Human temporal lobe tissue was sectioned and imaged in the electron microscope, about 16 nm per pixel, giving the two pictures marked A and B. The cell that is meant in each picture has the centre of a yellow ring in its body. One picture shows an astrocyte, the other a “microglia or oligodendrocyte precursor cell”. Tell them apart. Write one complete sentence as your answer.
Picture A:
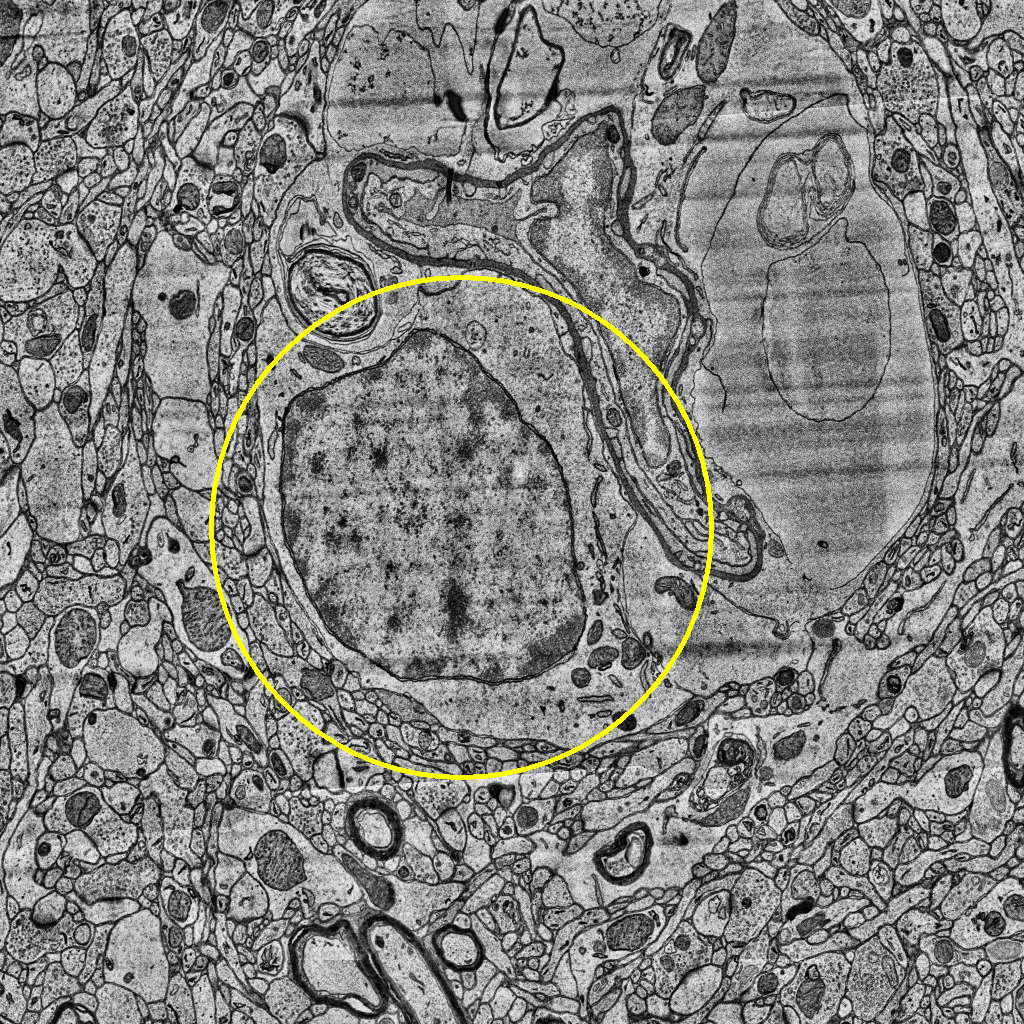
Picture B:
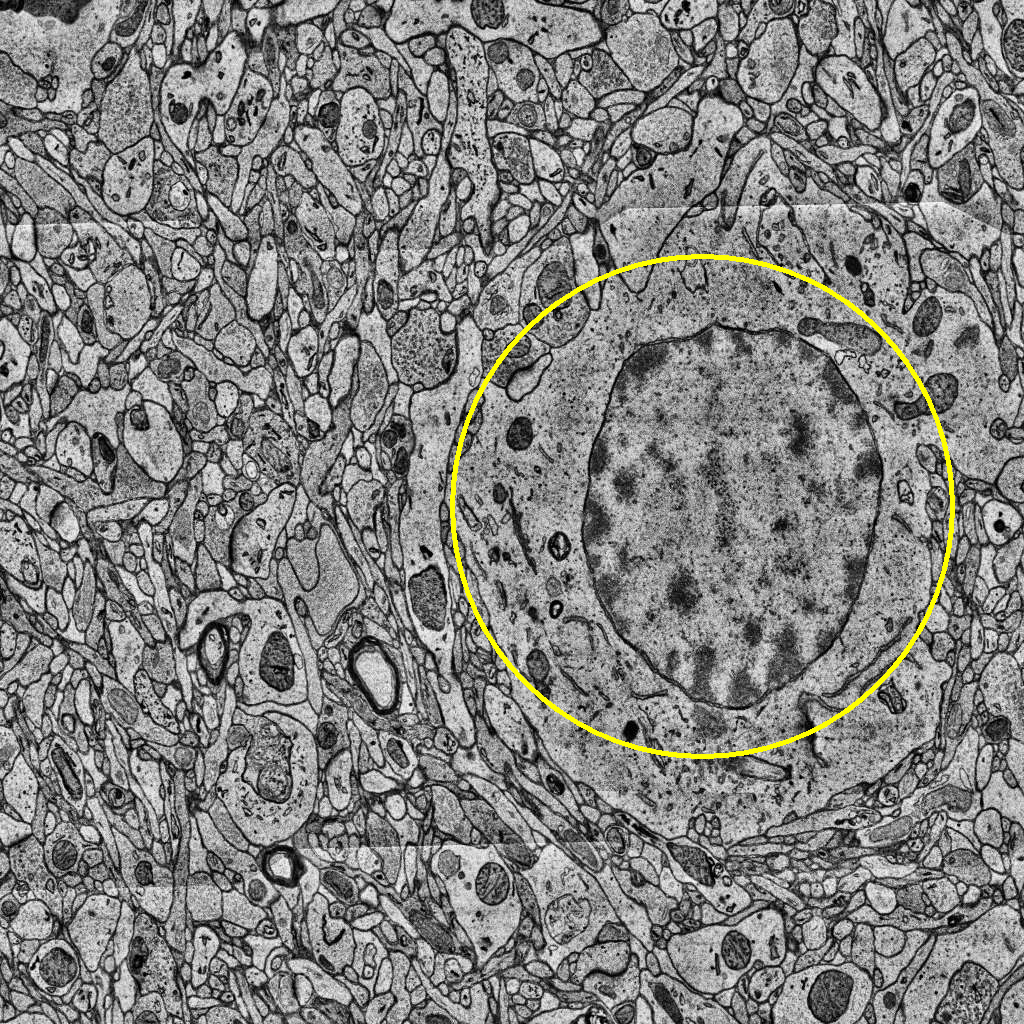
The cell in picture A is a “microglia or oligodendrocyte precursor cell”, and the one in picture B is an astrocyte.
